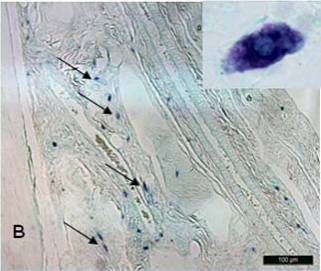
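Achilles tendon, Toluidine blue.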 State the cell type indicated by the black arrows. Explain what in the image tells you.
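The arrows point to small oval cells stained deep purple, darker than the surrounding pale blue tissue. The enlarged inset shows one such cell with a densely granular purple cytoplasm. These cells lie between the long, parallel fibre bundles of the tissue. On this evidence: mast cells.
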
